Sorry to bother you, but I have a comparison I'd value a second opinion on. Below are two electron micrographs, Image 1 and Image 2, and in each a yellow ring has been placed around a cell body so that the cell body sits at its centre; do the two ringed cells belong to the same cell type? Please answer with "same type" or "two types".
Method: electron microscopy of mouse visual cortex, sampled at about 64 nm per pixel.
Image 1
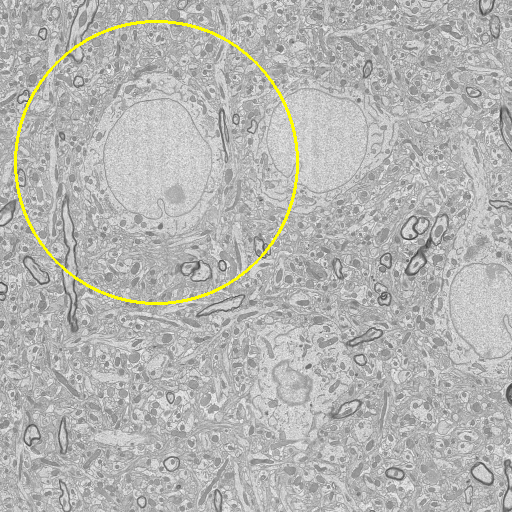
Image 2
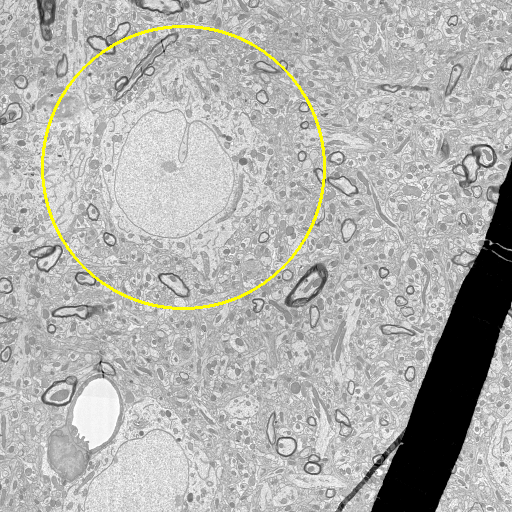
same type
